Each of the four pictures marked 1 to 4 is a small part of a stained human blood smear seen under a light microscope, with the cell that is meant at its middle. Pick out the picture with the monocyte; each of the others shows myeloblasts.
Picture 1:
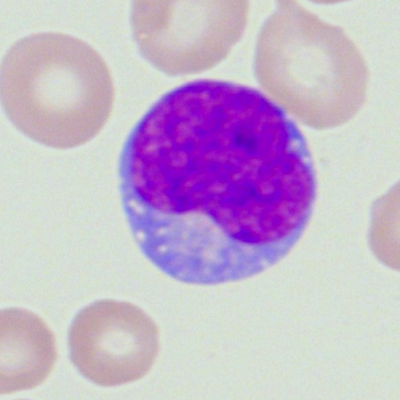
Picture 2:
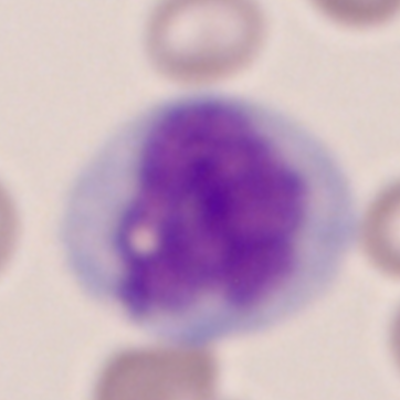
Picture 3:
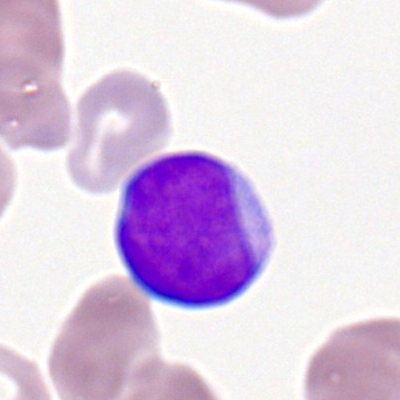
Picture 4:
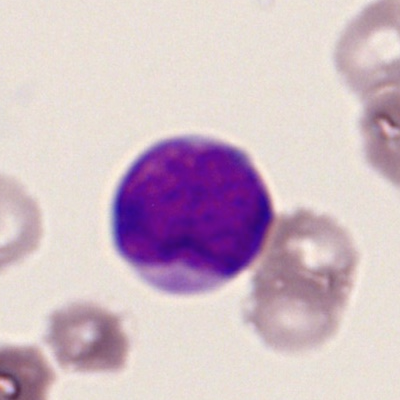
2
